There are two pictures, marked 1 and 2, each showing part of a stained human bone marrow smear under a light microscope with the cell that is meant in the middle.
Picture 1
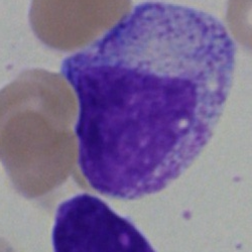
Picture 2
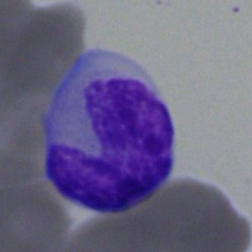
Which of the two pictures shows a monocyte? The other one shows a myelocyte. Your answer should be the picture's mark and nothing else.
2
